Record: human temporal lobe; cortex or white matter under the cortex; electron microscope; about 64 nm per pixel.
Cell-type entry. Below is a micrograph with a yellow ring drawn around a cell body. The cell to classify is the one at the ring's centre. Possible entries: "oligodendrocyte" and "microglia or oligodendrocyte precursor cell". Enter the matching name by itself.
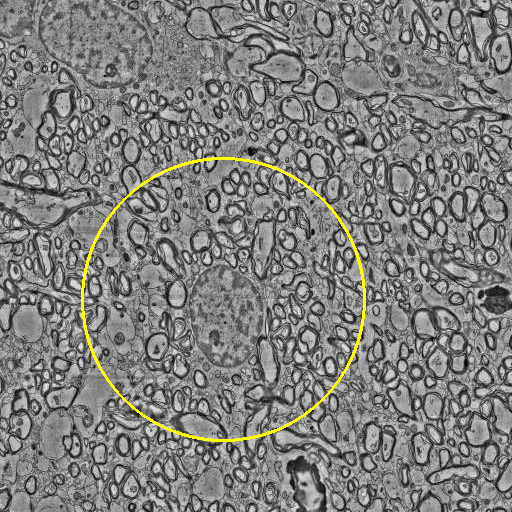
oligodendrocyte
